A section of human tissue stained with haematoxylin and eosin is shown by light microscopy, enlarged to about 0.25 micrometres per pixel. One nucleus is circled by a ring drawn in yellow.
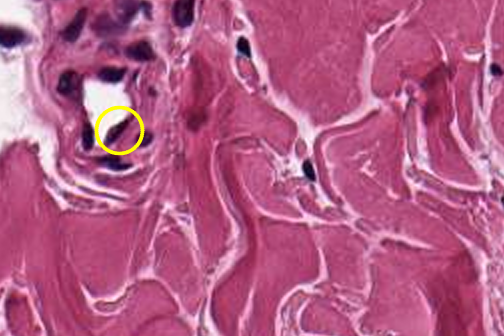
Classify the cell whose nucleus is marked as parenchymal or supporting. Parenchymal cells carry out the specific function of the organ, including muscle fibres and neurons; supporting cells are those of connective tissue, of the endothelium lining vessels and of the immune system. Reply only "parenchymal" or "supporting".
supporting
